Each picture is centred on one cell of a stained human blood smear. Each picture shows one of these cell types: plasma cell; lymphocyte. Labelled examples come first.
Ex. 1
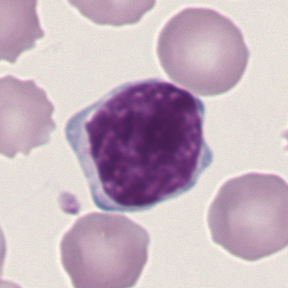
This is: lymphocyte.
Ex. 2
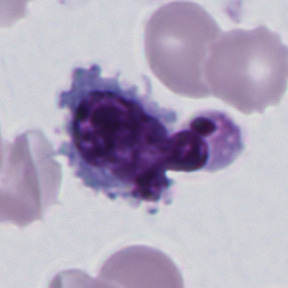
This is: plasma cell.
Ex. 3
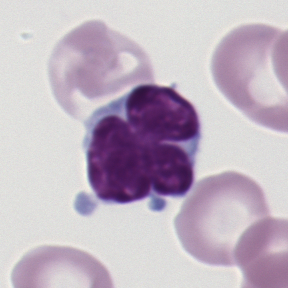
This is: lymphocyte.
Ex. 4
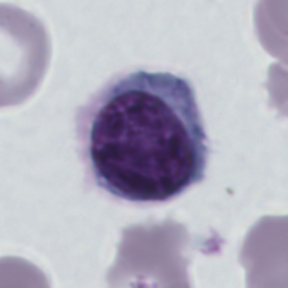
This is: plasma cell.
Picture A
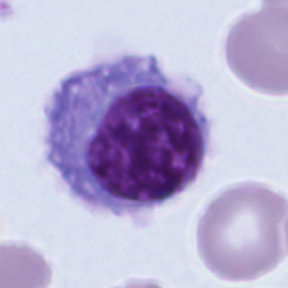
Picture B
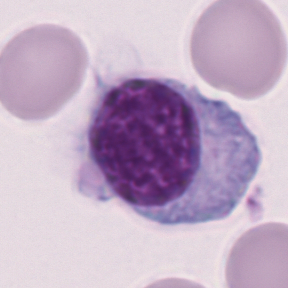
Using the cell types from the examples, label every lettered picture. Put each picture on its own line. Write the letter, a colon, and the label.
A: plasma cell.
B: plasma cell.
